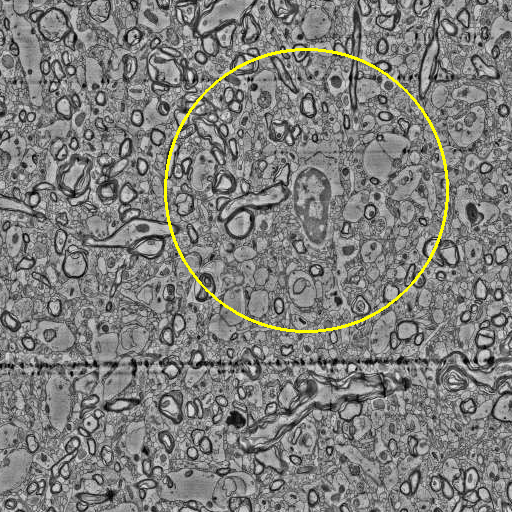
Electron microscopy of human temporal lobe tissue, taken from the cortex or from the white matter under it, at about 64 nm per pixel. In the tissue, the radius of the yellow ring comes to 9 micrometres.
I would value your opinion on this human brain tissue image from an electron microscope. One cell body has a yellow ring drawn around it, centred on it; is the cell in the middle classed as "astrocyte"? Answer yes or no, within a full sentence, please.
No, I would class the cell in the middle of the ring as a different kind.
